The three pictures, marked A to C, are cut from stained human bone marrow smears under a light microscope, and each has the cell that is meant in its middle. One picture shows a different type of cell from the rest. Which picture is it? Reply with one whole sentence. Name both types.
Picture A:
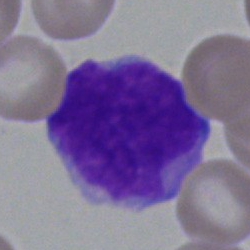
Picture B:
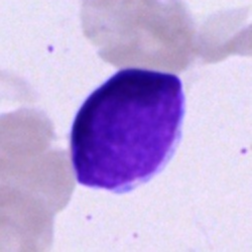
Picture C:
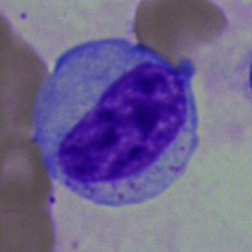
All pictures except C show blasts; picture C shows a myelocyte.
